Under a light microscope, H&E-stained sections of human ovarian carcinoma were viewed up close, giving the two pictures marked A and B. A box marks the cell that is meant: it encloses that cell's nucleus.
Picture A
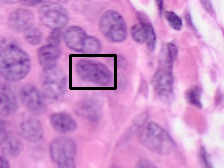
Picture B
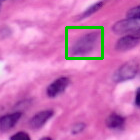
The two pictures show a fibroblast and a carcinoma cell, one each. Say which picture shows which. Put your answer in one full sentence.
It is picture A that shows a carcinoma cell, and picture B that shows a fibroblast.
